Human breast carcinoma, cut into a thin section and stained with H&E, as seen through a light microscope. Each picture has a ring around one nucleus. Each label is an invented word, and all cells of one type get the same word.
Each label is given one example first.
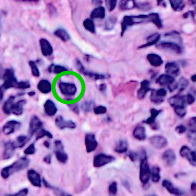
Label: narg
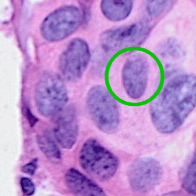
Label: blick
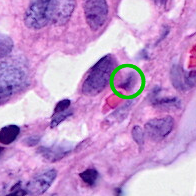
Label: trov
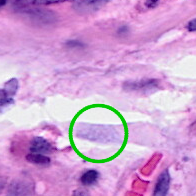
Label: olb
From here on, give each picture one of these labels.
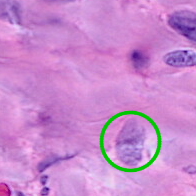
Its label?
olb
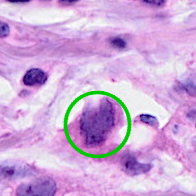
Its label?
blick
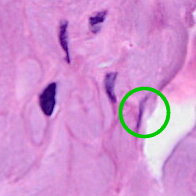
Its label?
olb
